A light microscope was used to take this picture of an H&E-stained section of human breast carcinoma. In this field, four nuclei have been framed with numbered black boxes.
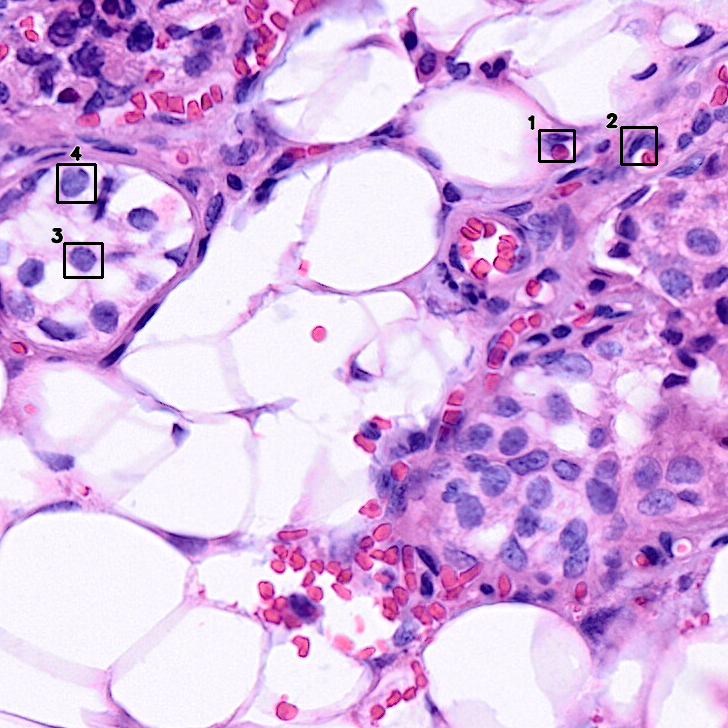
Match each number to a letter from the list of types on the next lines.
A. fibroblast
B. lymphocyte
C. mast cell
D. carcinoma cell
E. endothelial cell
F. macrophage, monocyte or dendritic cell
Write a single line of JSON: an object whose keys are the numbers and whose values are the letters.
{"1": "E", "2": "E", "3": "D", "4": "D"}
